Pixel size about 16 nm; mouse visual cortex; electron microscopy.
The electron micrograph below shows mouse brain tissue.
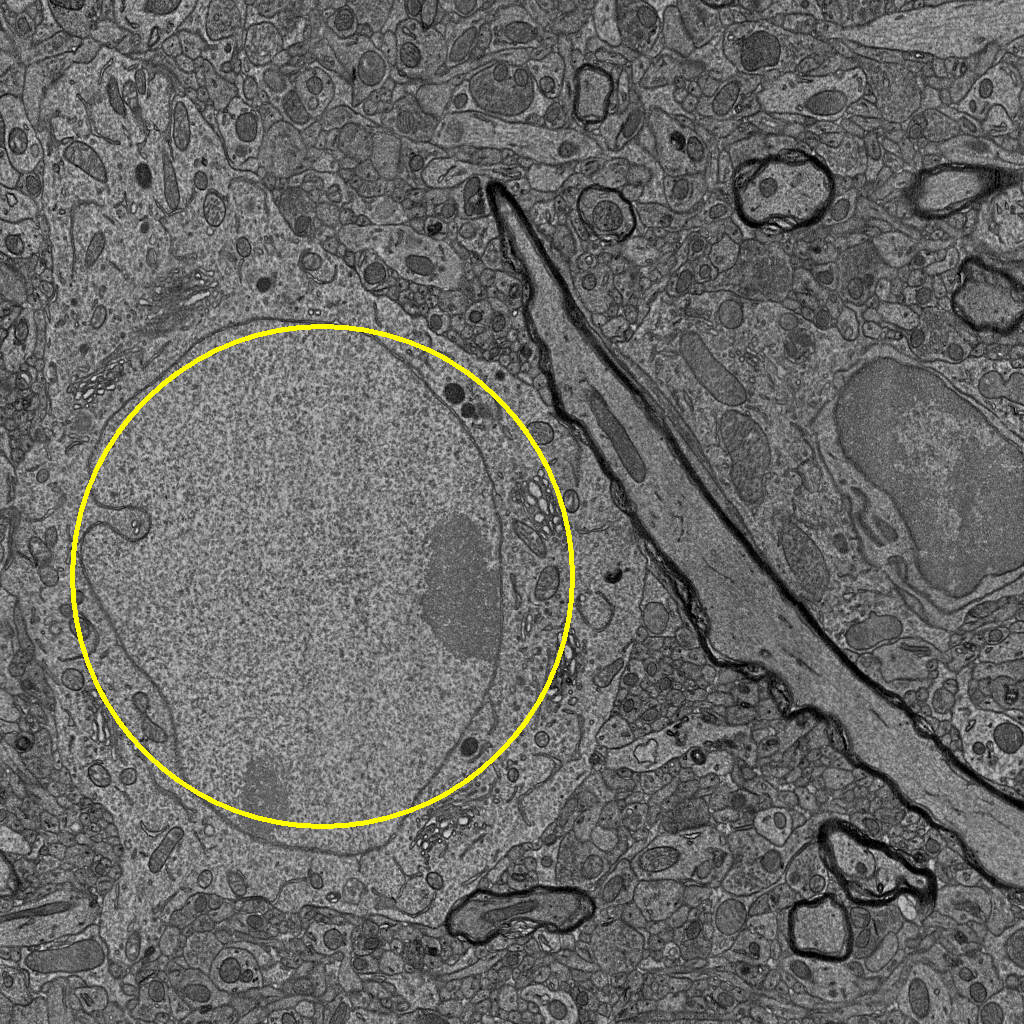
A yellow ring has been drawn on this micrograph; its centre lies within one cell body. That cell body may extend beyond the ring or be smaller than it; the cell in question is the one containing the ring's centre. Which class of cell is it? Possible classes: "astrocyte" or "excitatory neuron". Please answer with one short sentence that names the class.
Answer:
In the centre of the ring sits an excitatory neuron.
